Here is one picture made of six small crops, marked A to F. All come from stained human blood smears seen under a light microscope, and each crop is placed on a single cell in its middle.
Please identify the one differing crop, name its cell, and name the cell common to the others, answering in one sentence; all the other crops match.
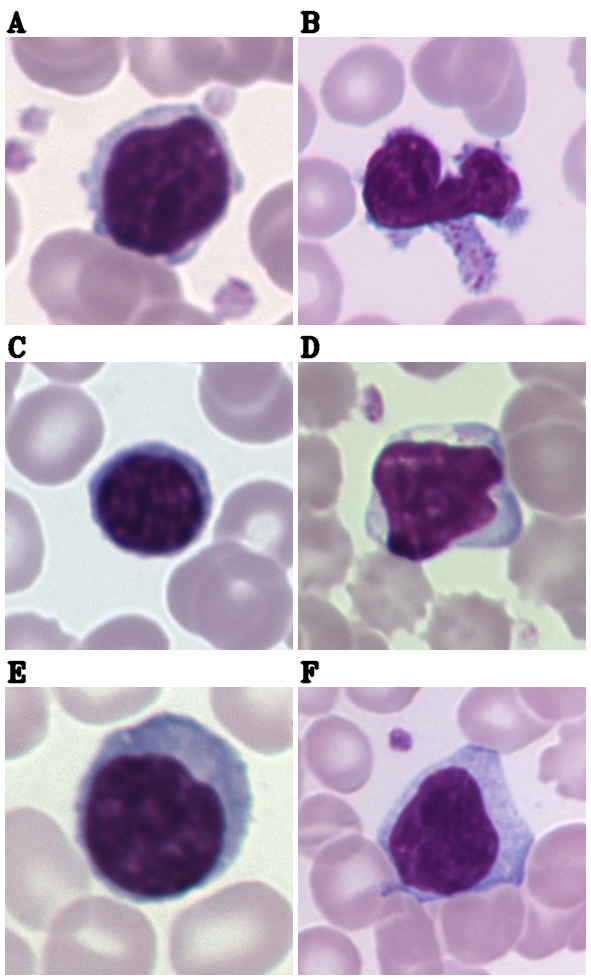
Crop B is the odd one out, being a large granular lymphocyte, while all the other crops show typical lymphocytes.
